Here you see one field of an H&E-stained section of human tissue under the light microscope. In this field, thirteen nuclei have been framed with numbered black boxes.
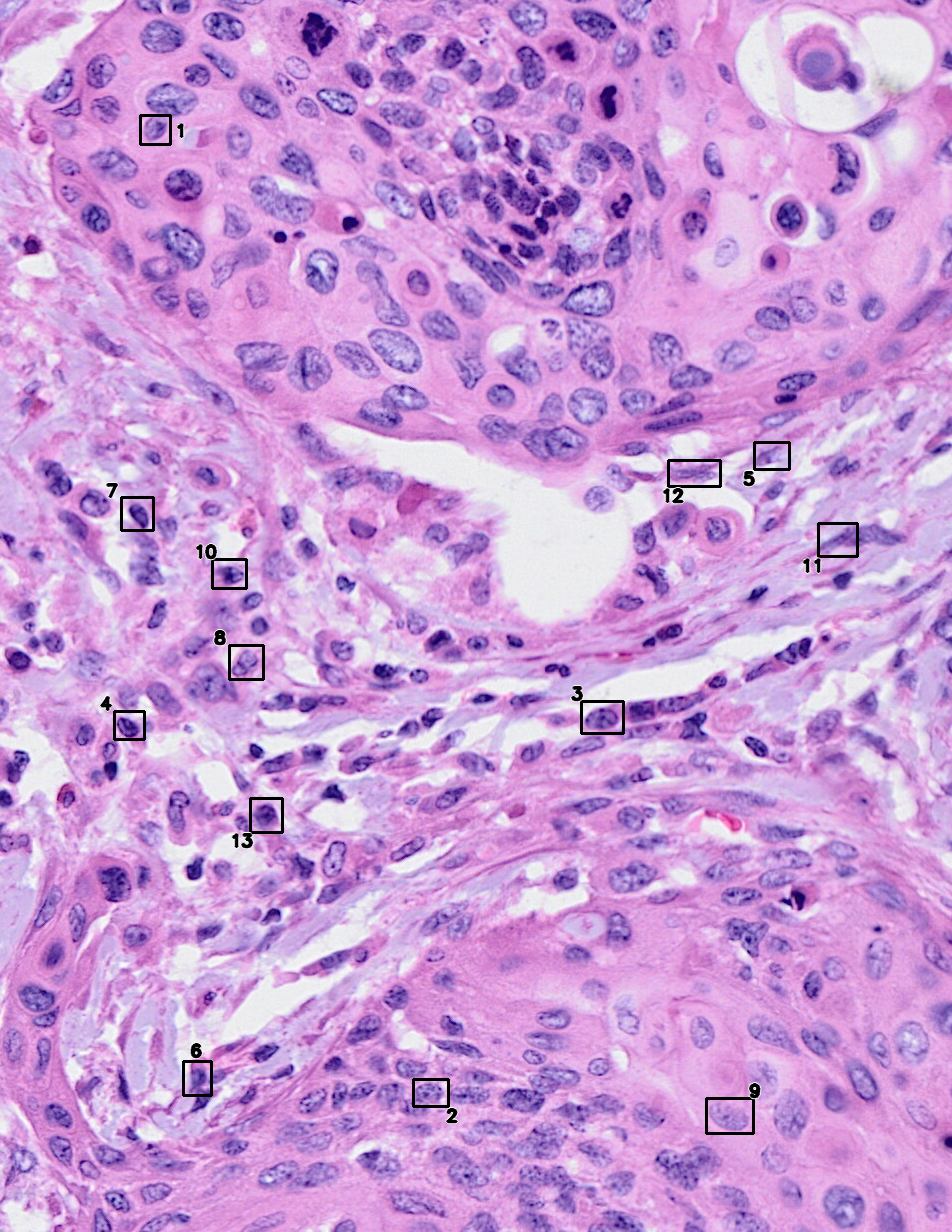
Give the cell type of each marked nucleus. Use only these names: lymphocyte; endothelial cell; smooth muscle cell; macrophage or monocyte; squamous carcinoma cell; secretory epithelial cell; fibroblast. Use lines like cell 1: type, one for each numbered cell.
cell 1: squamous carcinoma cell
cell 2: squamous carcinoma cell
cell 3: macrophage or monocyte
cell 4: lymphocyte
cell 5: fibroblast
cell 6: lymphocyte
cell 7: lymphocyte
cell 8: endothelial cell
cell 9: squamous carcinoma cell
cell 10: lymphocyte
cell 11: fibroblast
cell 12: fibroblast
cell 13: lymphocyte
